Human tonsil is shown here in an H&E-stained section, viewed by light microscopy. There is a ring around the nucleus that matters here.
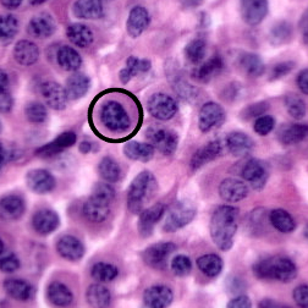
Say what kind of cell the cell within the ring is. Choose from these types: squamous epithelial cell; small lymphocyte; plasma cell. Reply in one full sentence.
Placed in its cell category, the cell within the ring is a plasma cell.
